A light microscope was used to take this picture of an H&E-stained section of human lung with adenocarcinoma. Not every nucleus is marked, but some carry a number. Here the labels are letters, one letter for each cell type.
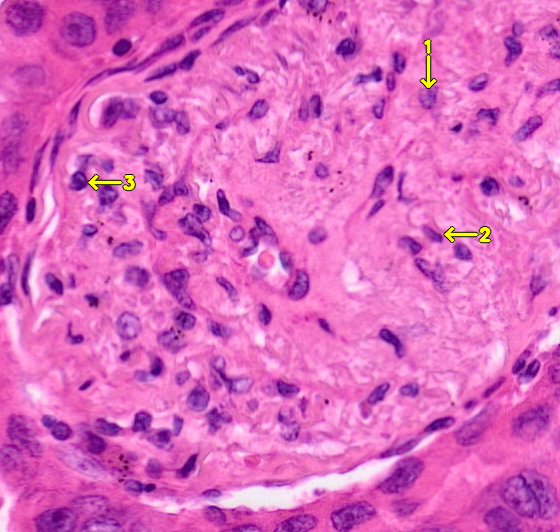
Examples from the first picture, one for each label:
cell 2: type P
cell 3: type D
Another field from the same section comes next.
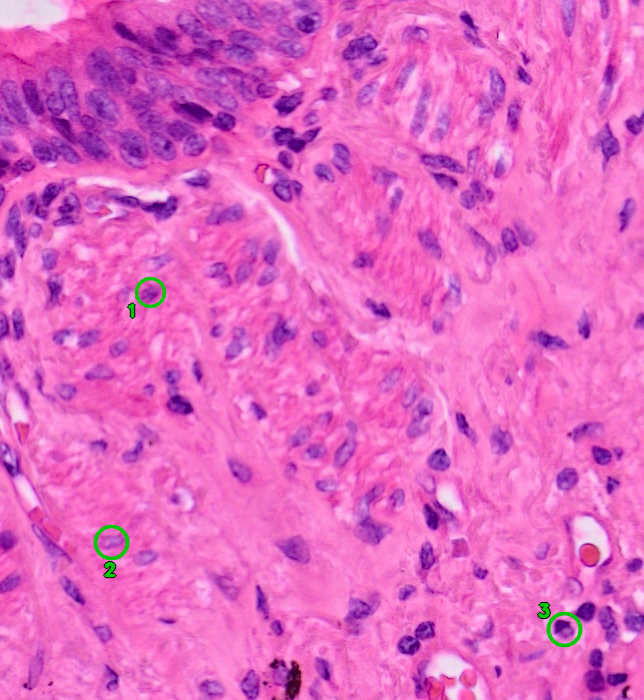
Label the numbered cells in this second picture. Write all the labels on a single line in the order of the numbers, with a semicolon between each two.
type P; type P; type D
